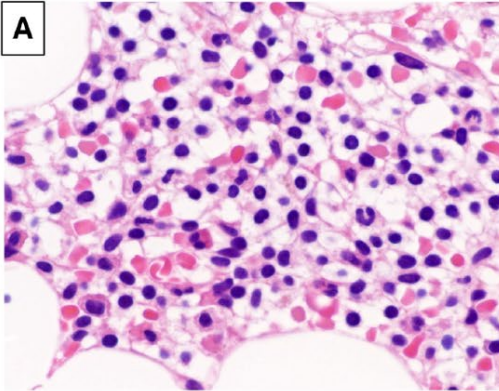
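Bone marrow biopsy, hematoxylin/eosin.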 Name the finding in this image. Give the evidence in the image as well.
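“fried egg” appearance. Dark round to oval nuclei sit in the centre of pale, clear cytoplasm. Cells are evenly spaced apart by their clear cytoplasm.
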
